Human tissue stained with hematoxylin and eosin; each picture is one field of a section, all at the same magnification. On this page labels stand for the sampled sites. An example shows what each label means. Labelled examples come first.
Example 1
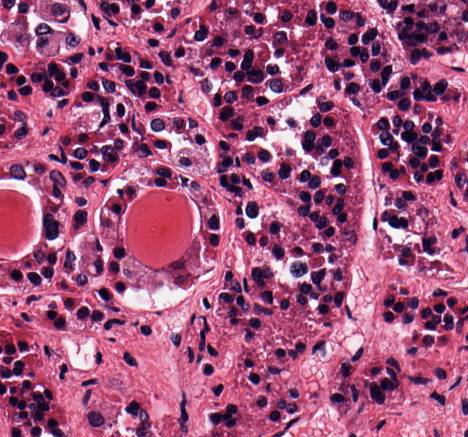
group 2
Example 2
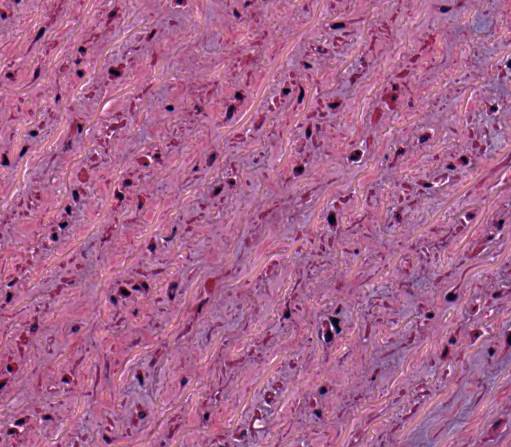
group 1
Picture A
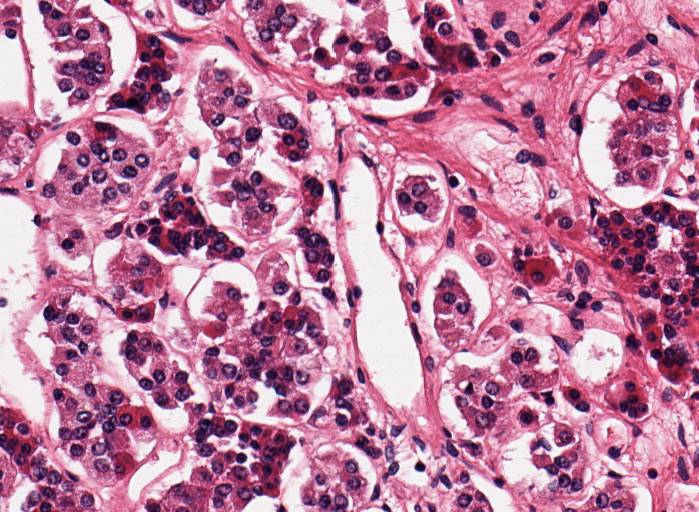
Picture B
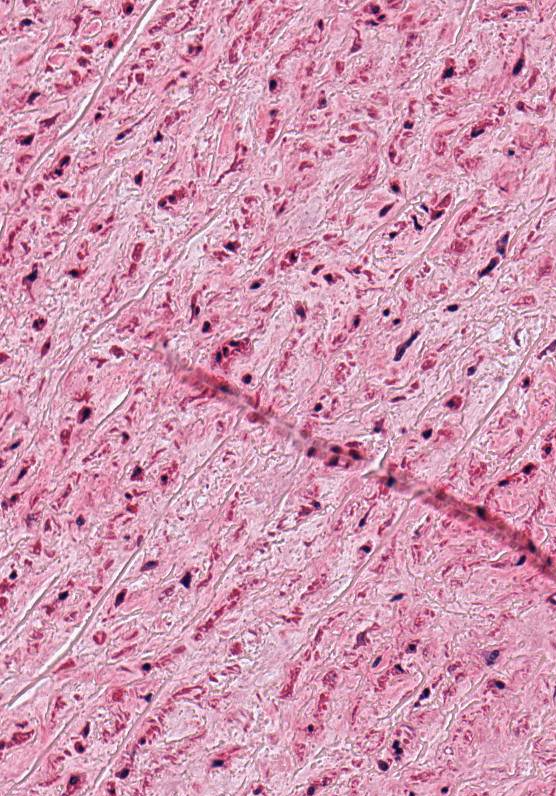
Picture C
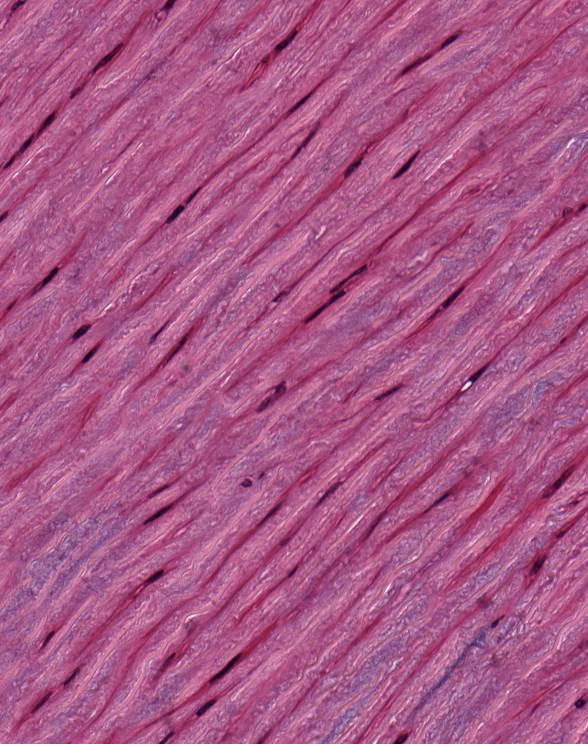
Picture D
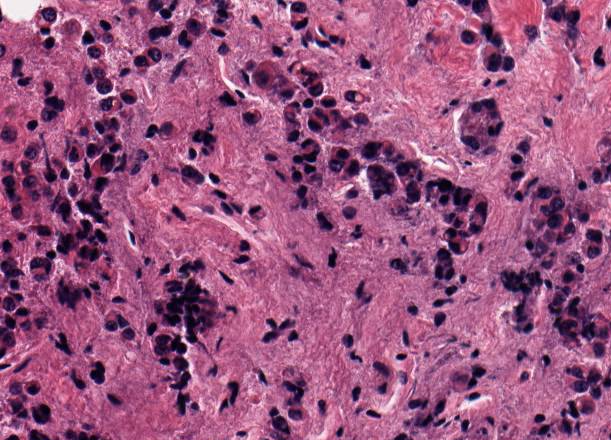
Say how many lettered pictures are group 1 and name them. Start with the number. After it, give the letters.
Count: 2 (B, C)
